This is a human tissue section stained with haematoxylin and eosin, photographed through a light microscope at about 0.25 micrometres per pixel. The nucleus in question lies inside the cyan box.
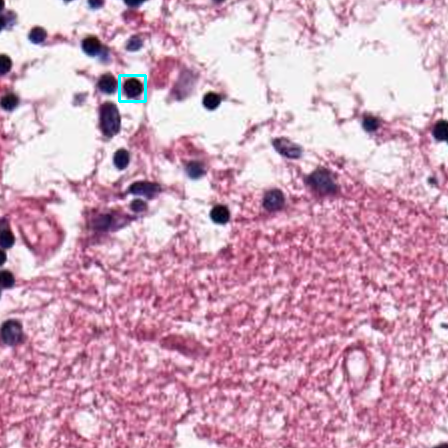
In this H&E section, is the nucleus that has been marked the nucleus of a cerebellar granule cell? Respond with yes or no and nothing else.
yes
